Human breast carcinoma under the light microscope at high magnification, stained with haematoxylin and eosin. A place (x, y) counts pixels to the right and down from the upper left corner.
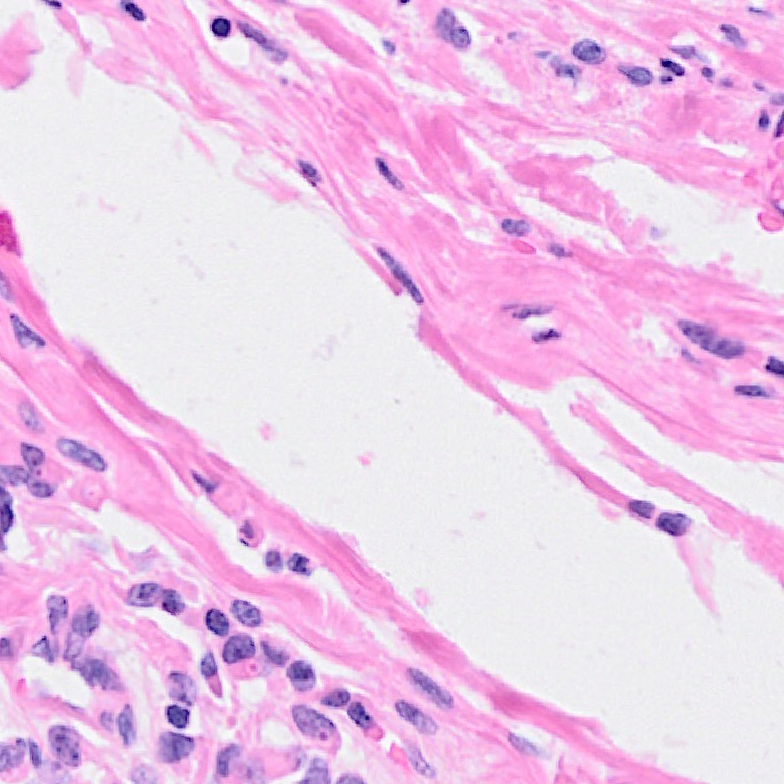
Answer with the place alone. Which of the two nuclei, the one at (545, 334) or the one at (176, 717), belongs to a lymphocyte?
(176, 717)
